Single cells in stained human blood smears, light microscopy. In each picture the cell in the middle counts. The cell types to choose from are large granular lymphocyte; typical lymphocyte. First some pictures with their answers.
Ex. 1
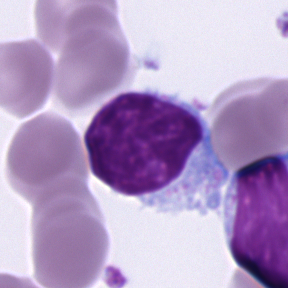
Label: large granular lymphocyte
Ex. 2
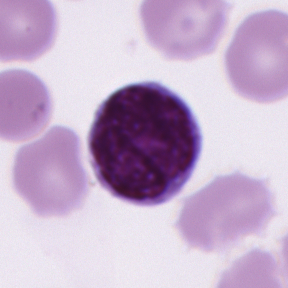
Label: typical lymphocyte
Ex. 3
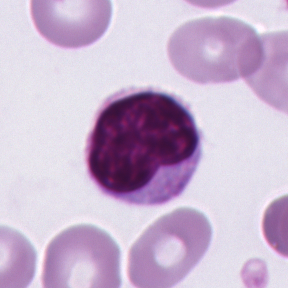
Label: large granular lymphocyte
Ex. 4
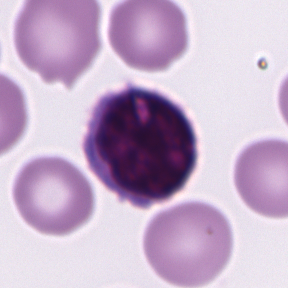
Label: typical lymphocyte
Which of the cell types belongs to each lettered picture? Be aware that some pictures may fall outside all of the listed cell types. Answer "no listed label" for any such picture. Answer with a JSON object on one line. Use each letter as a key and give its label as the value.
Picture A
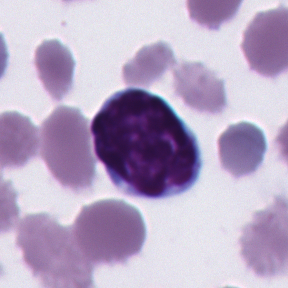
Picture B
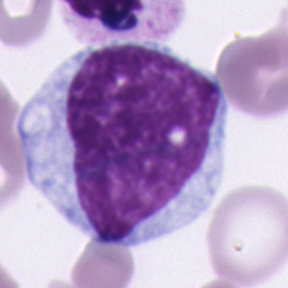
{"A": "typical lymphocyte", "B": "no listed label"}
